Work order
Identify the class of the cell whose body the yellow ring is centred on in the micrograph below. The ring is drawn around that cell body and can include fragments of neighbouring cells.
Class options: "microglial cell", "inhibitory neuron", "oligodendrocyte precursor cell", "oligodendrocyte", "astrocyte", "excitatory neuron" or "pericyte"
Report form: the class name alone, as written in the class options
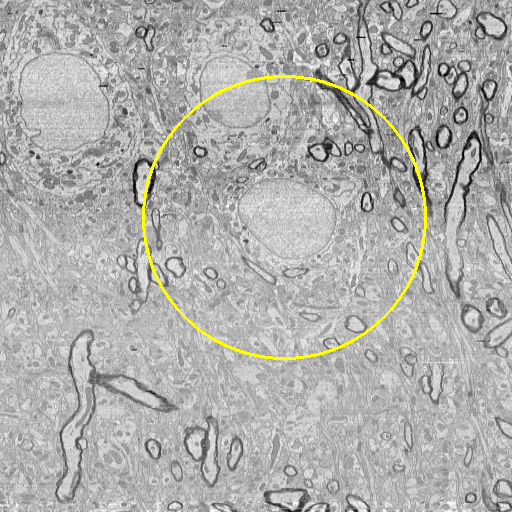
astrocyte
